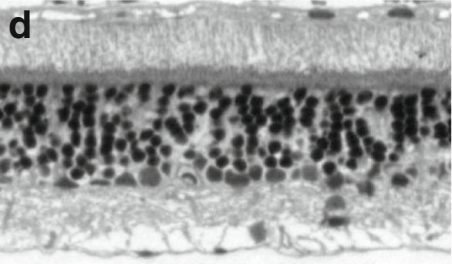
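This retina section shows a degenerated inner retina. The striated photoreceptor band and the thick layer of dense dark nuclei are still present, but the paler, larger nuclei below sit in a single irregular row pressed against them. The pale fibrous layer beneath is markedly thin, and only a few scattered cells remain along the inner edge.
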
